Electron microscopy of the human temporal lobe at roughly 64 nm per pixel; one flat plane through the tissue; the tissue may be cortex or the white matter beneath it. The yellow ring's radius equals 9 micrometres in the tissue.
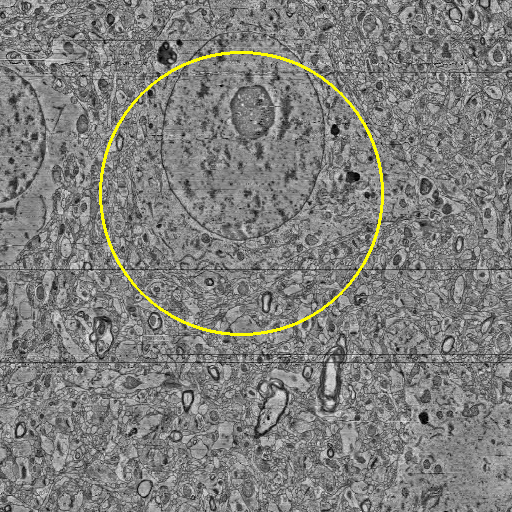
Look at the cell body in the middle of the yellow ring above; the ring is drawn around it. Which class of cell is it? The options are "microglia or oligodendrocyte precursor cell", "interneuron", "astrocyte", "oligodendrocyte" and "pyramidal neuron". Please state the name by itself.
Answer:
pyramidal neuron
